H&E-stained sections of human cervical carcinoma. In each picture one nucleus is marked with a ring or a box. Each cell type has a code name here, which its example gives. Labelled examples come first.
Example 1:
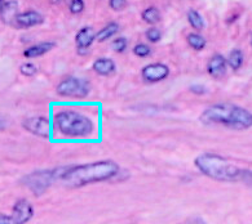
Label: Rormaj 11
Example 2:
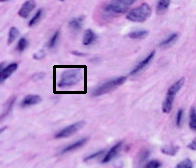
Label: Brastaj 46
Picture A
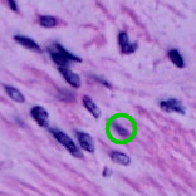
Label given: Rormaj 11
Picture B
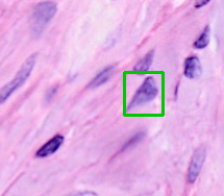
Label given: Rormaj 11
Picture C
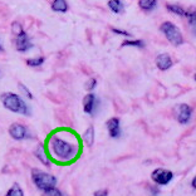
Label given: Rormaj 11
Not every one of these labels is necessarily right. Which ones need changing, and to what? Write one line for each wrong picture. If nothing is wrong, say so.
B is labelled Rormaj 11; correct label: Brastaj 46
